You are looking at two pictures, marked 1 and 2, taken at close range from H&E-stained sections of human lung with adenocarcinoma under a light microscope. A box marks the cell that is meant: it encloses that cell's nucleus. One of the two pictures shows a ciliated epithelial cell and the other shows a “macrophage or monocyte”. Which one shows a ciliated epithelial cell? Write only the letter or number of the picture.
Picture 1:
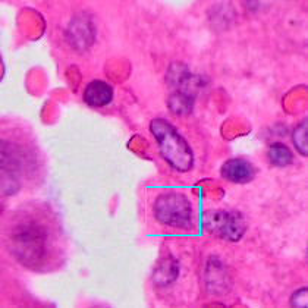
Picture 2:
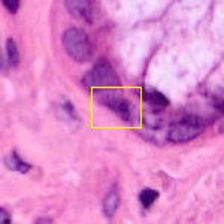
2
